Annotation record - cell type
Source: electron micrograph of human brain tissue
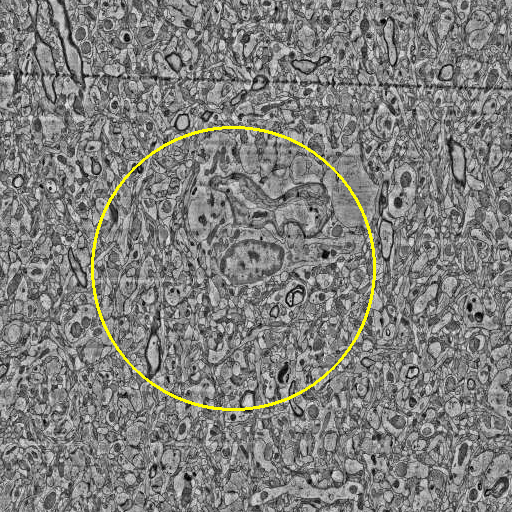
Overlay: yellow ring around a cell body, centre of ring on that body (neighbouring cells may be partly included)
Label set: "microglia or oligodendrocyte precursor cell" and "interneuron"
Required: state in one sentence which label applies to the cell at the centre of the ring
This cell should be labelled as a microglial cell or oligodendrocyte precursor cell.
